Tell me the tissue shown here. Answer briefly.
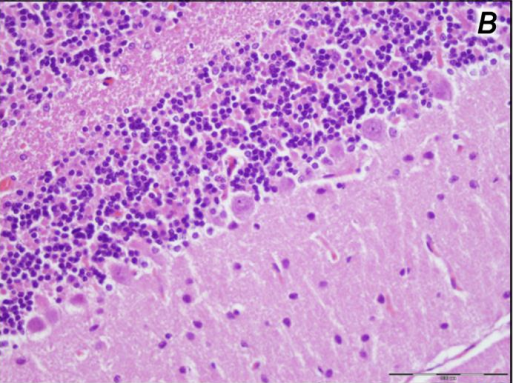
Cerebellar cortex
